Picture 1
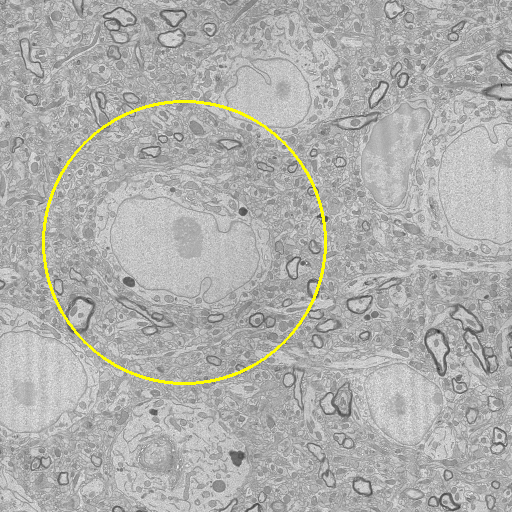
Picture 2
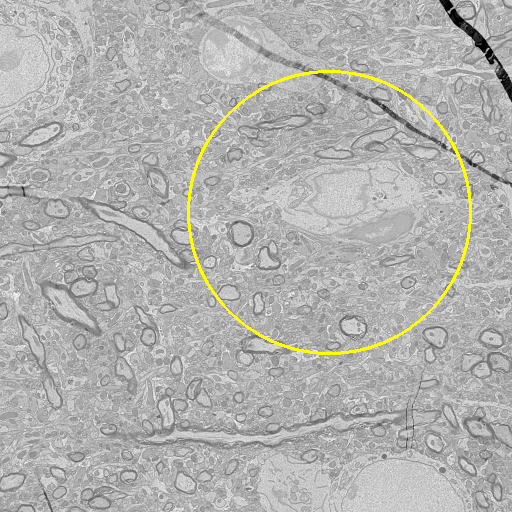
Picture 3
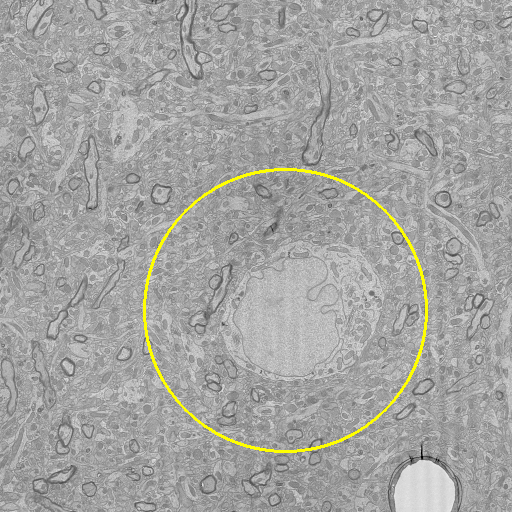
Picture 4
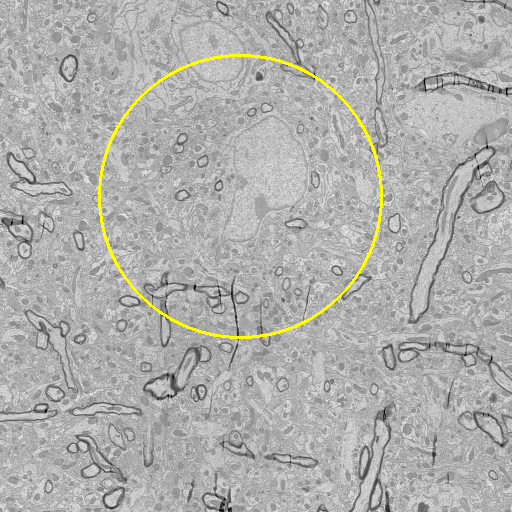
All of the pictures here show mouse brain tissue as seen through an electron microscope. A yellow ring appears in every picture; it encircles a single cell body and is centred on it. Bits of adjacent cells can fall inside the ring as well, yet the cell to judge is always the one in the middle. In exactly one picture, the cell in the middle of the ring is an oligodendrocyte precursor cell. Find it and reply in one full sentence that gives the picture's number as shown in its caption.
Of all the pictures, picture 4 has the right cell at the centre of its ring.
